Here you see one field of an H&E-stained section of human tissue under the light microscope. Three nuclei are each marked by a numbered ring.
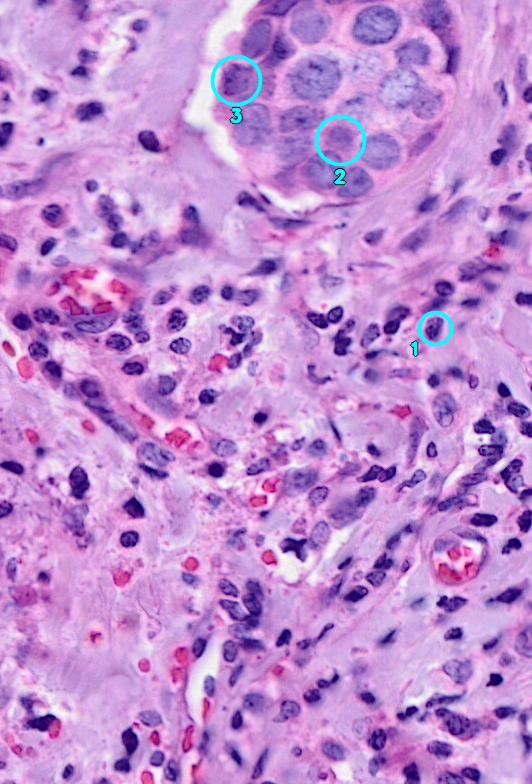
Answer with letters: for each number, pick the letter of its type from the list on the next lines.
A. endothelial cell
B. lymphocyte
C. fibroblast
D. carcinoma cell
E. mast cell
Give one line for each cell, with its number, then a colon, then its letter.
1: B
2: D
3: D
